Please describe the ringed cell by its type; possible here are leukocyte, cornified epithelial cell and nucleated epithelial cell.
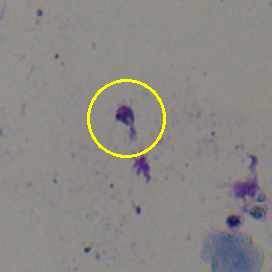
The yellow ring marks a leukocyte.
